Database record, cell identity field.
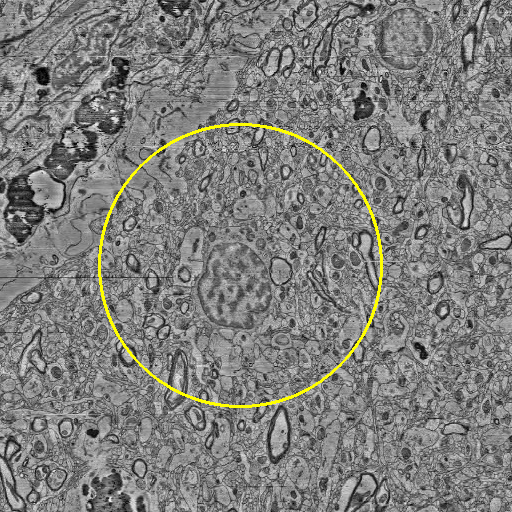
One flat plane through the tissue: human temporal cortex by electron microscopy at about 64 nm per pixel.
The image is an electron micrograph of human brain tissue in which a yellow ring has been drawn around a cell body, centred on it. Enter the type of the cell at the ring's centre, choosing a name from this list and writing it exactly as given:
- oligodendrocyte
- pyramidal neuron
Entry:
oligodendrocyte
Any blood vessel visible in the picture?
Yes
